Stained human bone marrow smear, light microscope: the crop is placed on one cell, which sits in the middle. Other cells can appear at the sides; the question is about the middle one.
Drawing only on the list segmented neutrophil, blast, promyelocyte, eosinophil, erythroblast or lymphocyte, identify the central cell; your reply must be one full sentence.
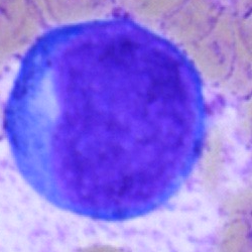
The middle position in this crop is taken by a blast.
